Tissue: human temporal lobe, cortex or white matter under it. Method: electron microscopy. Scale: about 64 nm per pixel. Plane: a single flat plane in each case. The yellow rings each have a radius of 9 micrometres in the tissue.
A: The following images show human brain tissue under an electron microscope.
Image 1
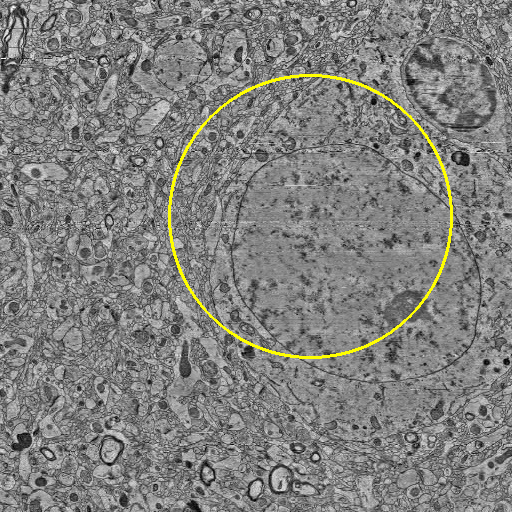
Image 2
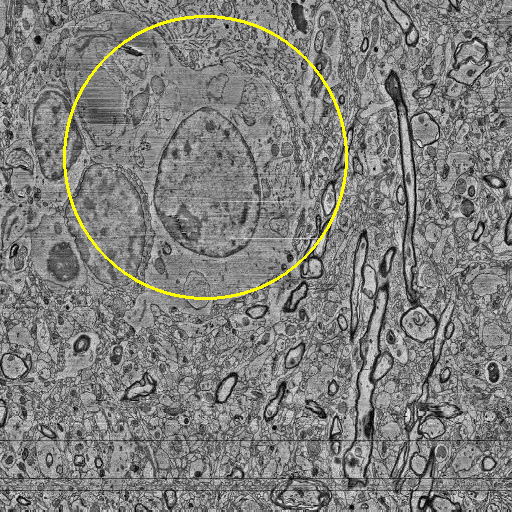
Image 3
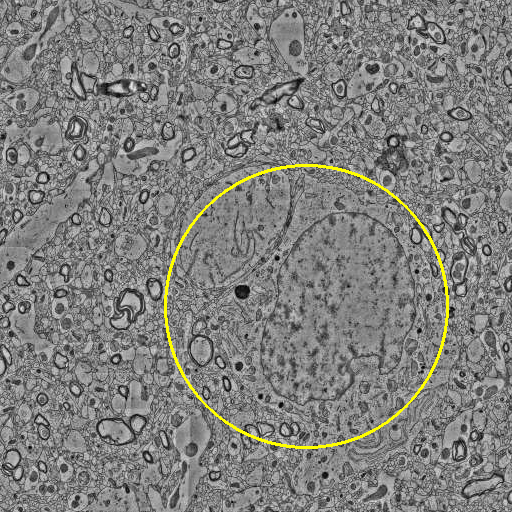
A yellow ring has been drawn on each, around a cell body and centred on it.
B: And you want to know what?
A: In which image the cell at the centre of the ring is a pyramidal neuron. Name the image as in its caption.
Image 1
